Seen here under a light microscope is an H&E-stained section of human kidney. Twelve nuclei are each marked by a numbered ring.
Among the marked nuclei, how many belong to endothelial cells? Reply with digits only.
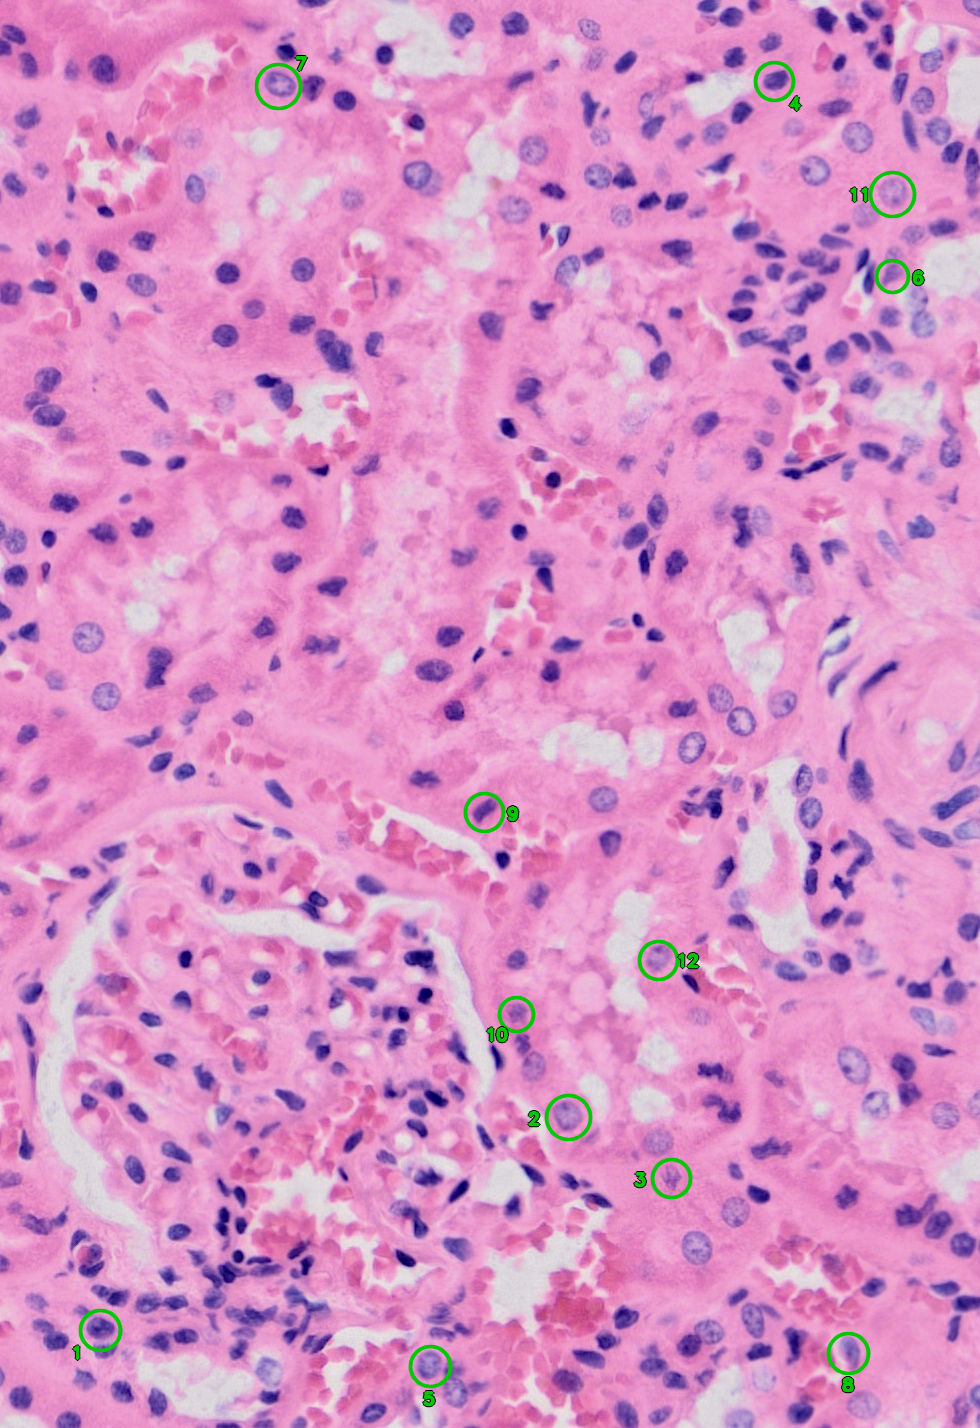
1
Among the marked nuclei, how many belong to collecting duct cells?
2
